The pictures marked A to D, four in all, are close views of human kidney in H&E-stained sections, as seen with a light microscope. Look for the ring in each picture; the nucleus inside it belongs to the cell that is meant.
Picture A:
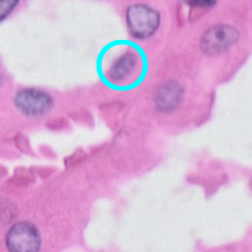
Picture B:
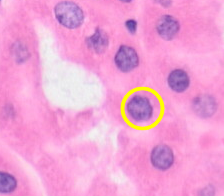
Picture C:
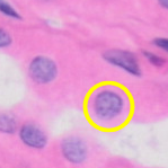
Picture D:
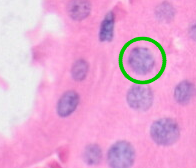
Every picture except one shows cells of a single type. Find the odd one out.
B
